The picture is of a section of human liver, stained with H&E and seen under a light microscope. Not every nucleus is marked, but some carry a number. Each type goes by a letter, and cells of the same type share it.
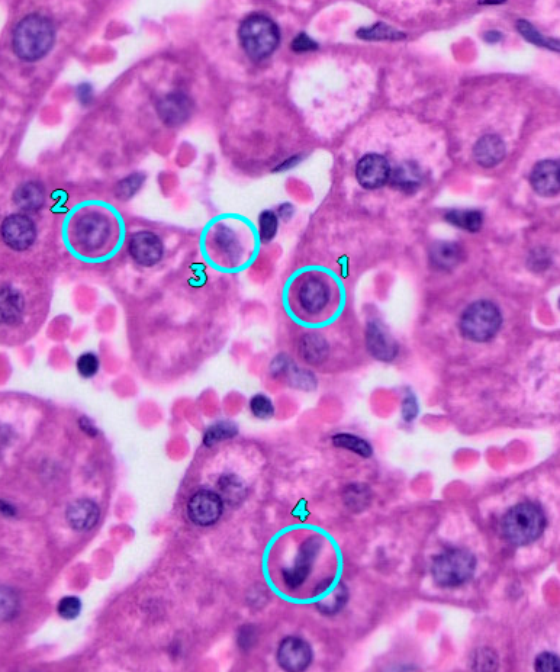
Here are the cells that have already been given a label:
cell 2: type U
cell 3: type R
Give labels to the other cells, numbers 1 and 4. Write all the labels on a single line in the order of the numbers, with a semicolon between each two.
type U; type R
